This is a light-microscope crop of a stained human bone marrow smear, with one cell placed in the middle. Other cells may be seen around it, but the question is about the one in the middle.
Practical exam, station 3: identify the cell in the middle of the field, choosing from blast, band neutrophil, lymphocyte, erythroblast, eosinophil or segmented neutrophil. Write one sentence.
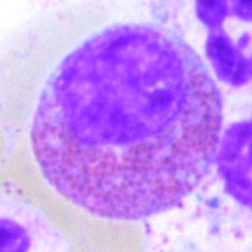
The cell marked by its central position in the crop is an eosinophil.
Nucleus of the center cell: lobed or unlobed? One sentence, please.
Just one compact nuclear mass here, round, oval or kidney-shaped.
